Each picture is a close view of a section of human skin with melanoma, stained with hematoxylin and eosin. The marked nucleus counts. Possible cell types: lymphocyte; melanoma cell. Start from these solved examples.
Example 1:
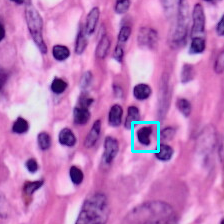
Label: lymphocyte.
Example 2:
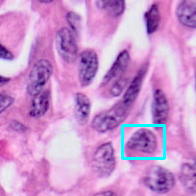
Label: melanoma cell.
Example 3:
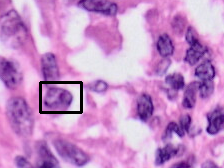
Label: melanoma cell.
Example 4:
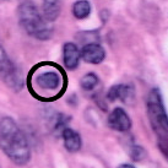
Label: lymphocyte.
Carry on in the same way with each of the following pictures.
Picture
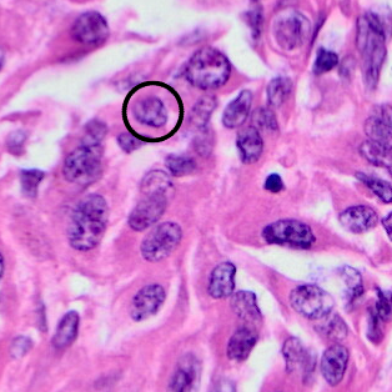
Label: melanoma cell.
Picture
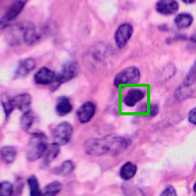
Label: lymphocyte.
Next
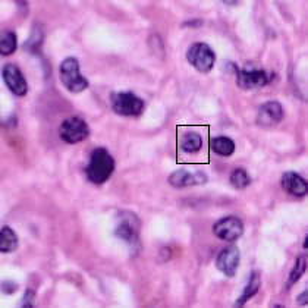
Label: lymphocyte.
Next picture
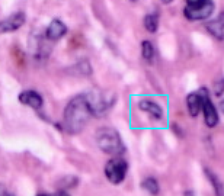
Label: lymphocyte.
